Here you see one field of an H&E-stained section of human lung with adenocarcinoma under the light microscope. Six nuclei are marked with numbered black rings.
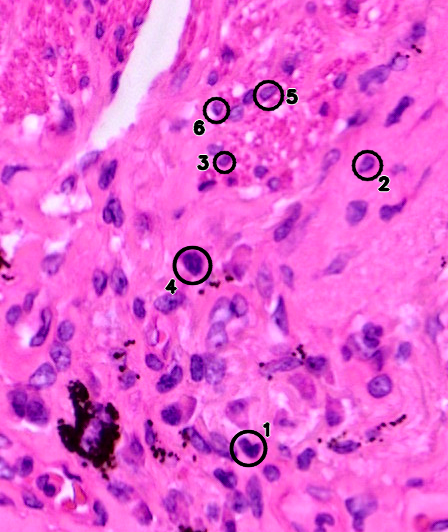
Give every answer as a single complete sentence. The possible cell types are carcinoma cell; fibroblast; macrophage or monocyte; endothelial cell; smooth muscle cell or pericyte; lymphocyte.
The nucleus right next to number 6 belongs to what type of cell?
Closest to number 6 lies the nucleus of a smooth muscle cell or pericyte.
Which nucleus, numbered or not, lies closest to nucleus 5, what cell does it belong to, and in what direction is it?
It is a smooth muscle cell or pericyte, whose nucleus lies to the left of nucleus 5.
